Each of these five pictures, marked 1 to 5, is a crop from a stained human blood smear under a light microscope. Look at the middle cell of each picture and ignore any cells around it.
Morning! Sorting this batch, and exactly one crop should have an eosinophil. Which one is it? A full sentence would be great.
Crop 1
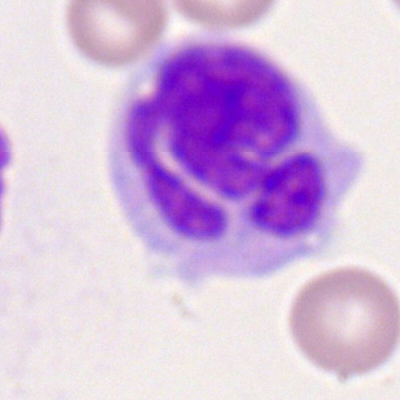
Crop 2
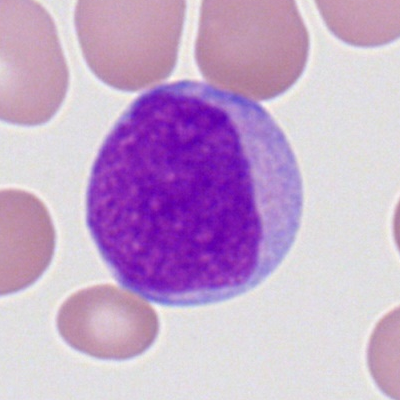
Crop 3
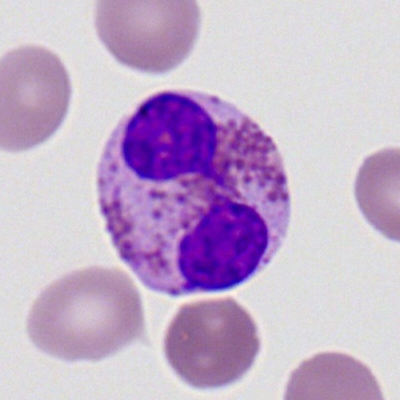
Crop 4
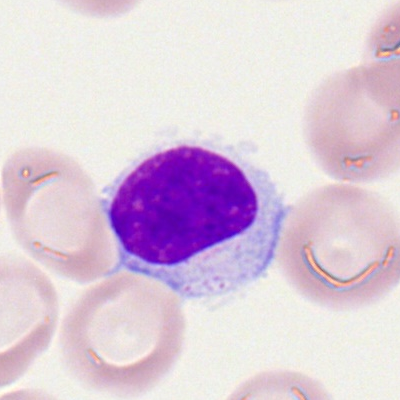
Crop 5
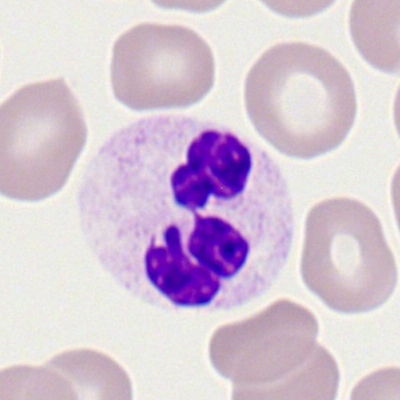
Crop 3 is identified as the crop showing an eosinophil.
